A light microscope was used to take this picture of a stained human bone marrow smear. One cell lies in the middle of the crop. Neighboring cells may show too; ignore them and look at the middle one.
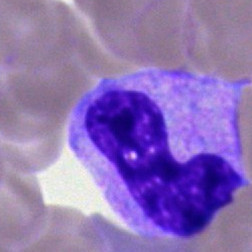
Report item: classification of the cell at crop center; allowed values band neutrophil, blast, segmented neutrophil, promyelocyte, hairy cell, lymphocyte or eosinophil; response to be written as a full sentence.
Looking at the middle of the crop, the cell there is a band neutrophil.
